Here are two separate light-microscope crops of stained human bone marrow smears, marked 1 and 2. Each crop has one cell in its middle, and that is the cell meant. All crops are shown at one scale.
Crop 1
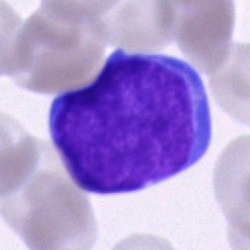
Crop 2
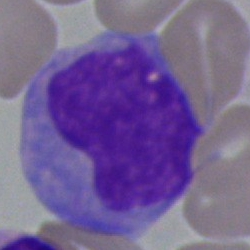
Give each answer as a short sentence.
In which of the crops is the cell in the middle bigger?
The cell in crop 2 is larger, with about 1.5 times the area of the one in crop 1.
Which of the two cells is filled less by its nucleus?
Of the two, the nucleus in crop 2 leaves more room for cytoplasm.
